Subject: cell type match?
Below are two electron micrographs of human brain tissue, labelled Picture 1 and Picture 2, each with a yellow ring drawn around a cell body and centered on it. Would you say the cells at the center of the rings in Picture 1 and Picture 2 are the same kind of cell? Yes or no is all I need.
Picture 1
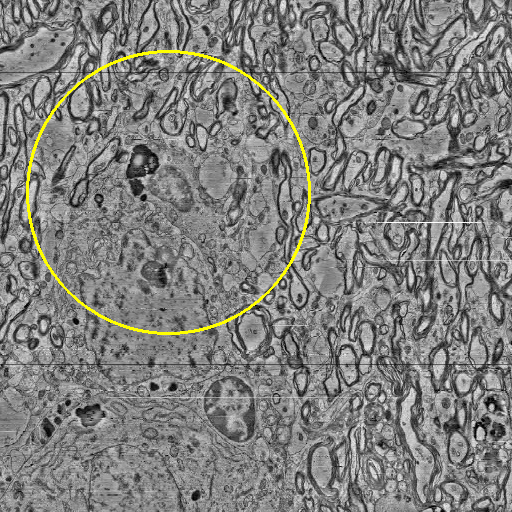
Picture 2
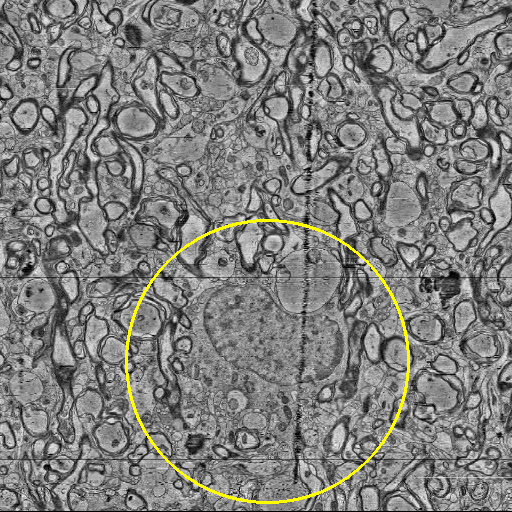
yes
